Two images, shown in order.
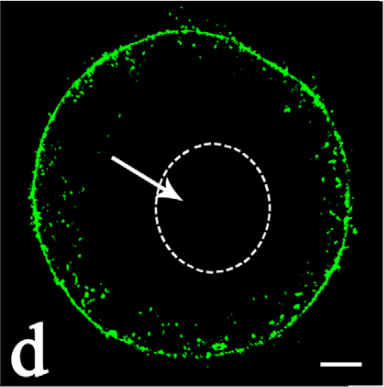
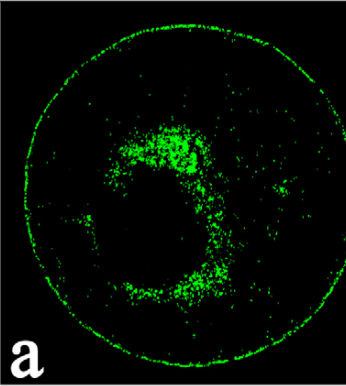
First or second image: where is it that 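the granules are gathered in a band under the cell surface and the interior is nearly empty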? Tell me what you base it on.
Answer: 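The first image. Second image: granules are clustered in a crescent around a dark central region, with a thin line at the rim. First image: granules form a thick band along the rim and the centre is almost empty.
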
